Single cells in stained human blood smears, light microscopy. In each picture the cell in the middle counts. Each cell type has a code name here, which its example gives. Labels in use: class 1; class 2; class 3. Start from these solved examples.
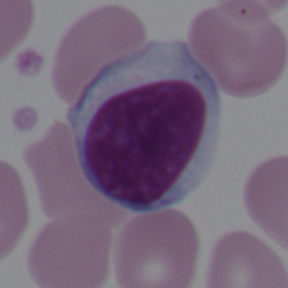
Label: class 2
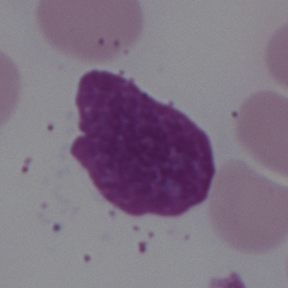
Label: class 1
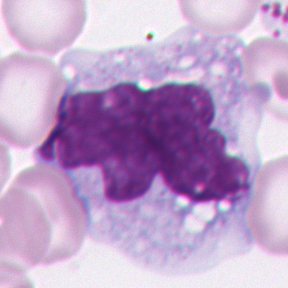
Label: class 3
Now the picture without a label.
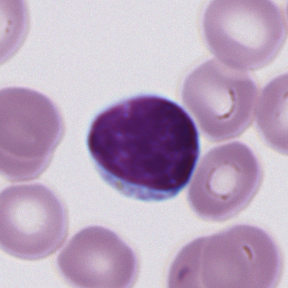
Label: class 2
